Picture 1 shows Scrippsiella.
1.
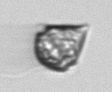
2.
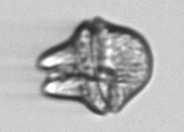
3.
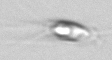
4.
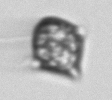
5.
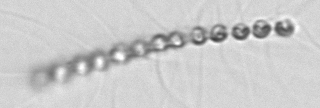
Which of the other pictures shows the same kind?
Picture 4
